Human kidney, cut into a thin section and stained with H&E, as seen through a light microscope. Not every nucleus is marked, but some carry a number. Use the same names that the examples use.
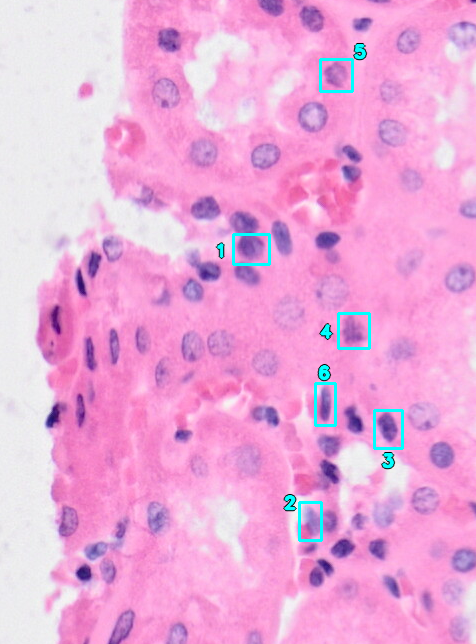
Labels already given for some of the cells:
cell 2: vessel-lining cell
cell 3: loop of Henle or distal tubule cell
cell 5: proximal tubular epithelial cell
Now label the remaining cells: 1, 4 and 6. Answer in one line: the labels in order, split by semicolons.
loop of Henle or distal tubule cell; proximal tubular epithelial cell; vessel-lining cell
